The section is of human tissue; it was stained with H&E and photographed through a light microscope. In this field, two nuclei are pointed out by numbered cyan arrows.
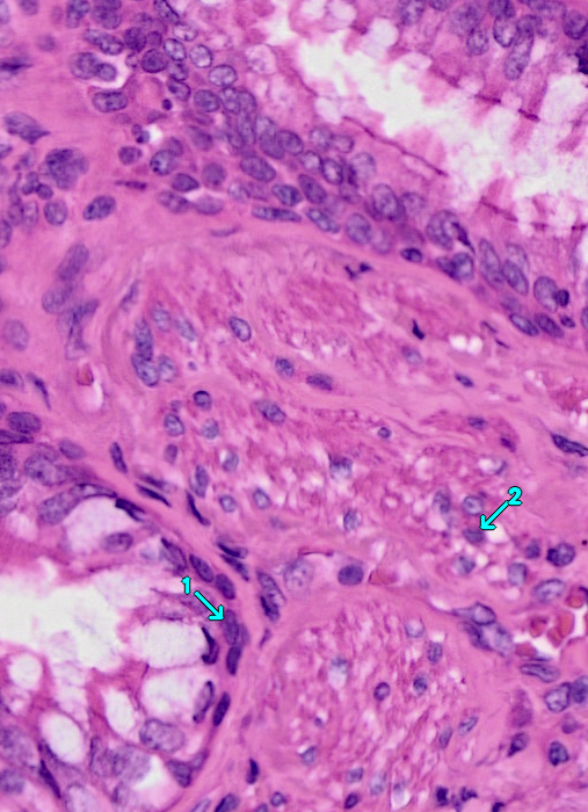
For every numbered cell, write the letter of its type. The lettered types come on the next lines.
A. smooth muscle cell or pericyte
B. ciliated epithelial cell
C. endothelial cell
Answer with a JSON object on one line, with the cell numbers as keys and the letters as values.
{"1": "B", "2": "A"}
